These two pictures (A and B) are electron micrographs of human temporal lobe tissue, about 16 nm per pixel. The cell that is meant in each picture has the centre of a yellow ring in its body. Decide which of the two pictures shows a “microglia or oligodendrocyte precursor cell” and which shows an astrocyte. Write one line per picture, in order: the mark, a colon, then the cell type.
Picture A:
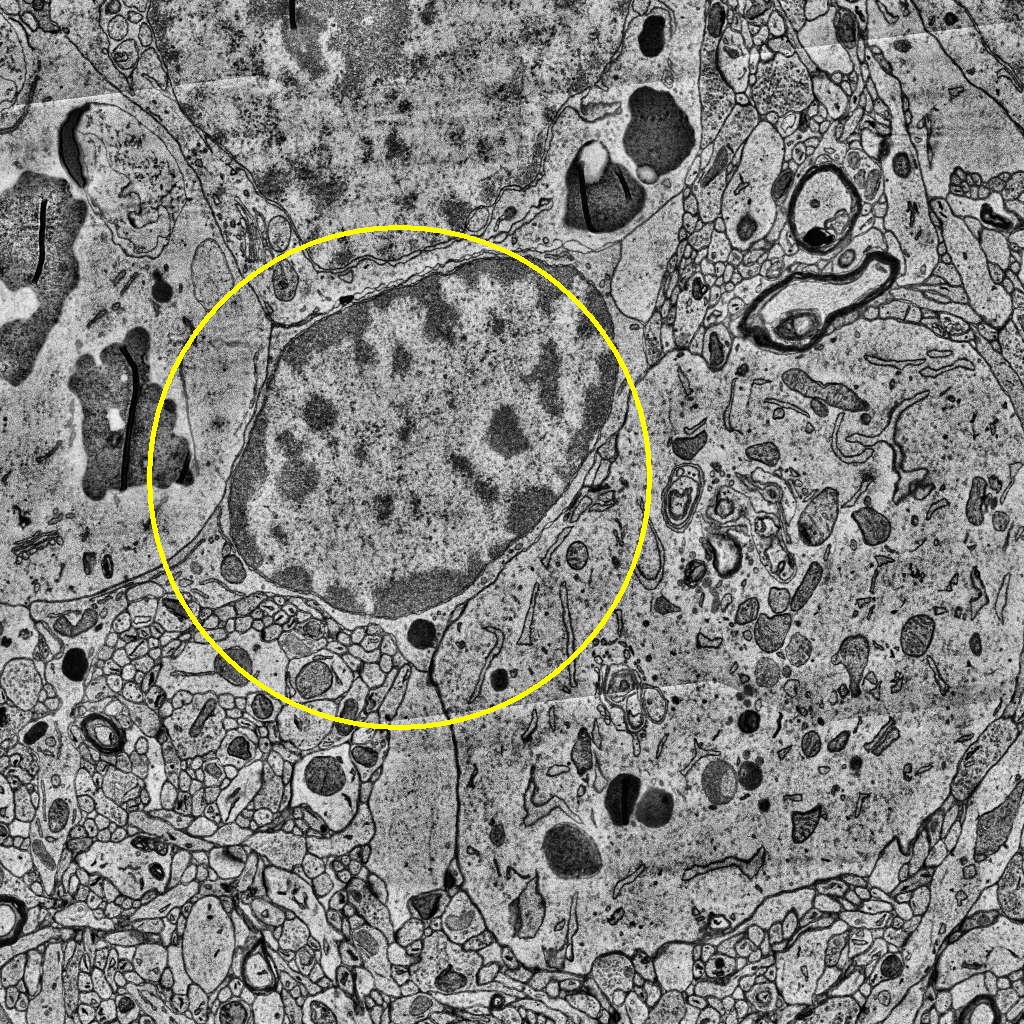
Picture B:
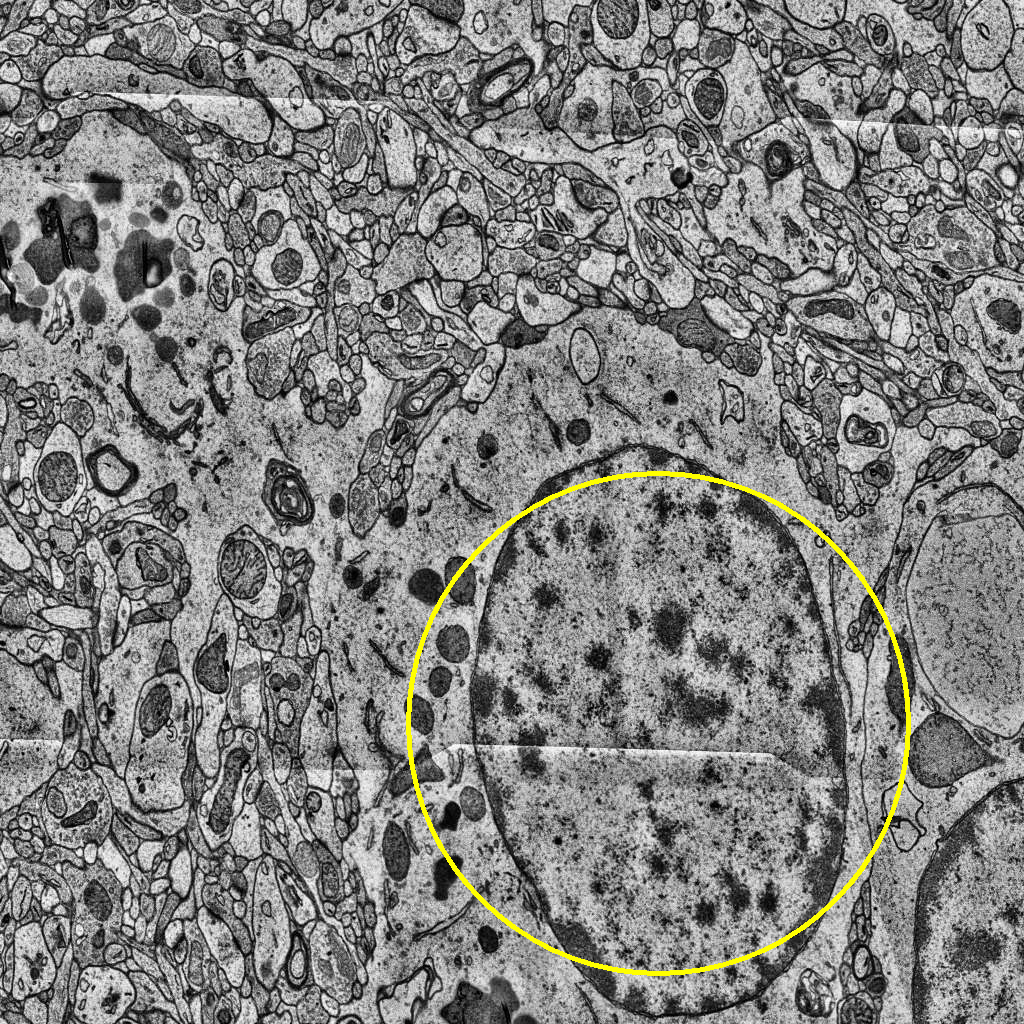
A: microglia or oligodendrocyte precursor cell
B: astrocyte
